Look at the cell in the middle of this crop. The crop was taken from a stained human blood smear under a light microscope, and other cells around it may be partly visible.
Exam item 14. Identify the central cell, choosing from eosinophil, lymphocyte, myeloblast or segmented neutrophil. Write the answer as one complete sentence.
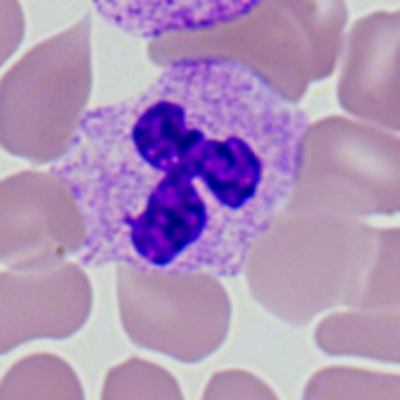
The cell in the middle of the field of view is a segmented neutrophil.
